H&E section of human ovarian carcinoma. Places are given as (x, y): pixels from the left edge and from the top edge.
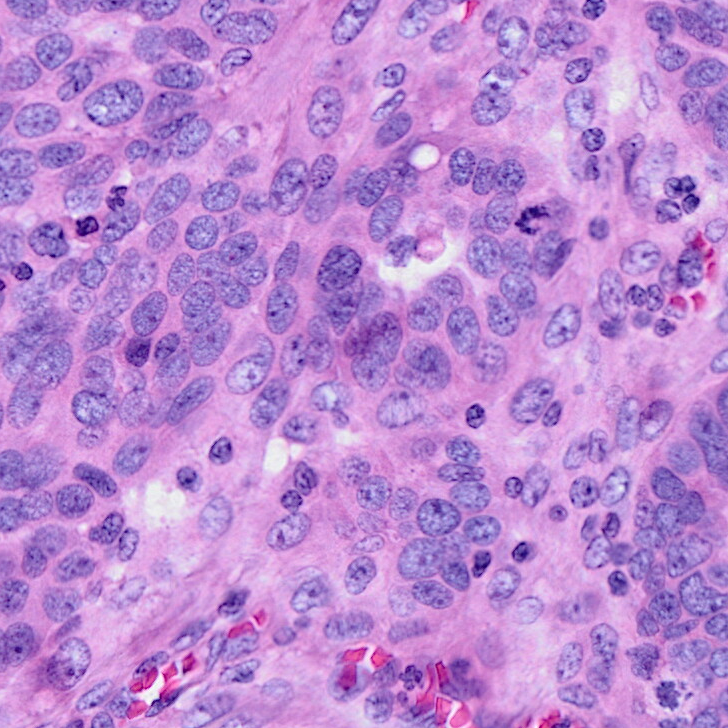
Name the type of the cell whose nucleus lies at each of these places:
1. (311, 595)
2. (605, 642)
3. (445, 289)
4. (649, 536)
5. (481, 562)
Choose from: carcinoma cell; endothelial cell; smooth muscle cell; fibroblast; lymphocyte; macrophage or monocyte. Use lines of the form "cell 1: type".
cell 1: fibroblast
cell 2: fibroblast
cell 3: carcinoma cell
cell 4: carcinoma cell
cell 5: lymphocyte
